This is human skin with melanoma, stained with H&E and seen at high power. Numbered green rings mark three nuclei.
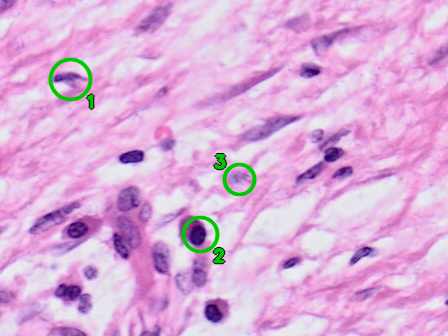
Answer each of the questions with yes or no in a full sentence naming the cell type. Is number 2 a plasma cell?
Yes, looking at number 2, that cell is a plasma cell.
